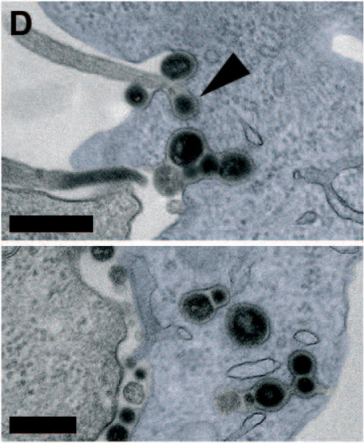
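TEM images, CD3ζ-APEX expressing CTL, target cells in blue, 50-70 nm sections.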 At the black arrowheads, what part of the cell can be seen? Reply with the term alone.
Clathrin coats.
